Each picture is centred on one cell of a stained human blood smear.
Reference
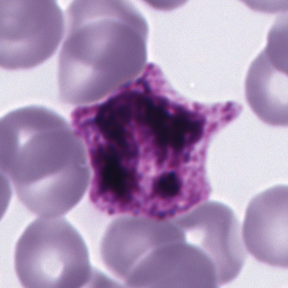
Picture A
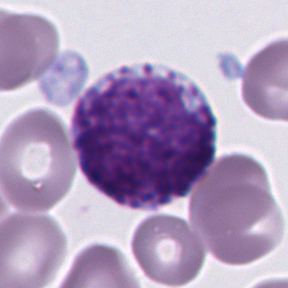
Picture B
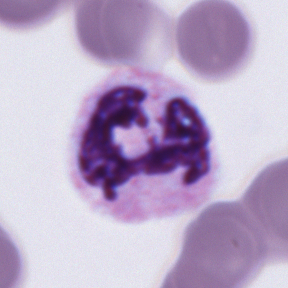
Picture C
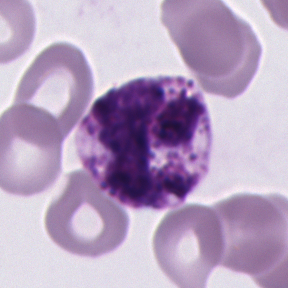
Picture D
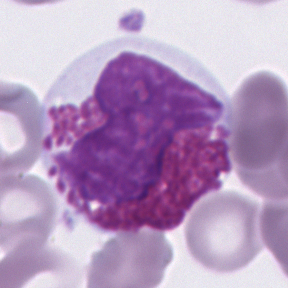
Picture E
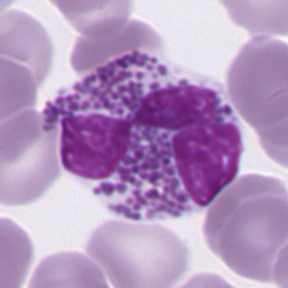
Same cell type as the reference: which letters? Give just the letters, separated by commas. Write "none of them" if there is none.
A, C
